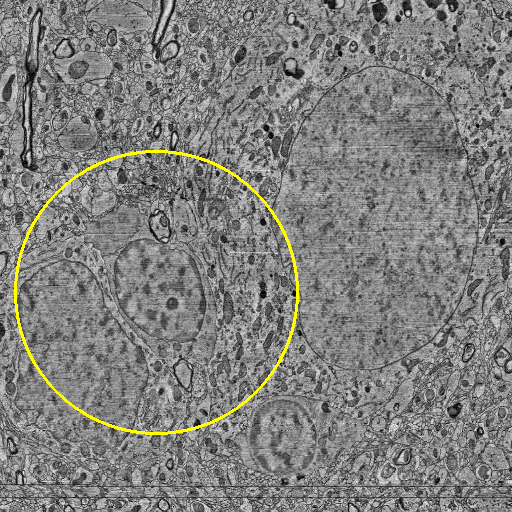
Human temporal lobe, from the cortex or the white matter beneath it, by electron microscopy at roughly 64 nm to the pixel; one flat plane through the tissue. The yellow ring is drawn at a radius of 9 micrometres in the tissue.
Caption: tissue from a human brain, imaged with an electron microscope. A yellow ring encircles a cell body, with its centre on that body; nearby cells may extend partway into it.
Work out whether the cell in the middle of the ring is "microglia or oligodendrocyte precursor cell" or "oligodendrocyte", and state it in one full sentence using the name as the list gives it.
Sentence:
In the picture, the cell that the yellow ring surrounds at its centre is an oligodendrocyte.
